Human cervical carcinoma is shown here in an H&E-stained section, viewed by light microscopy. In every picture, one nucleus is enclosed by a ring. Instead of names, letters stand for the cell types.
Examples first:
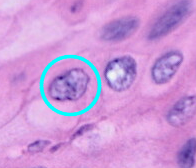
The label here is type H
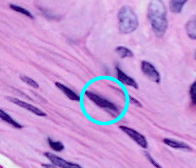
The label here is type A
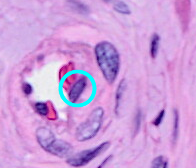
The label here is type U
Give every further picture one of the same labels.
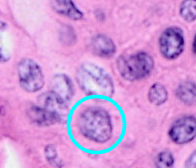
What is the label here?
type H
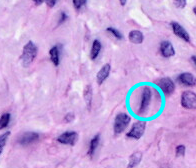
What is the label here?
type A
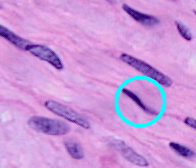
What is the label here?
type A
